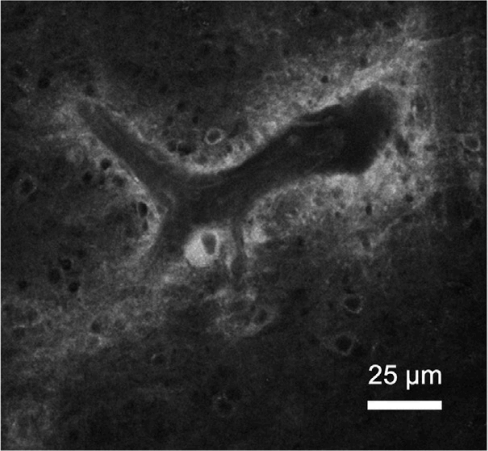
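The vessel appears as a dark, Y-shaped tubular profile running across the middle of the field. A broad band of bright, finely granular fluorescence surrounds the vessel, and it fades gradually into the dimmer tissue further away. Scattered through the tissue are many small round dark holes, the unlabelled profiles of cell bodies, some outlined by a faint bright rim. A bright rounded profile sits next to the vessel near its branching point.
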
